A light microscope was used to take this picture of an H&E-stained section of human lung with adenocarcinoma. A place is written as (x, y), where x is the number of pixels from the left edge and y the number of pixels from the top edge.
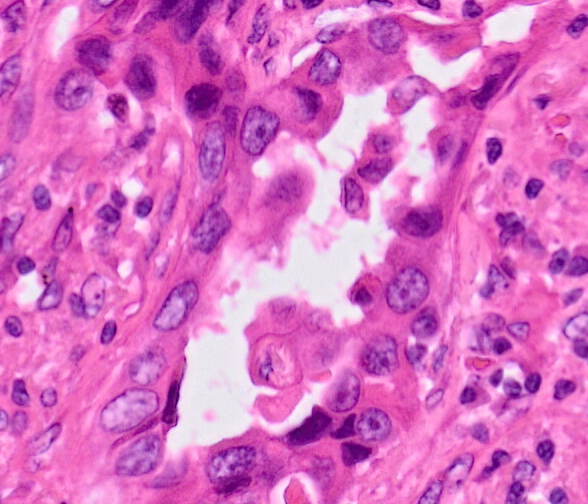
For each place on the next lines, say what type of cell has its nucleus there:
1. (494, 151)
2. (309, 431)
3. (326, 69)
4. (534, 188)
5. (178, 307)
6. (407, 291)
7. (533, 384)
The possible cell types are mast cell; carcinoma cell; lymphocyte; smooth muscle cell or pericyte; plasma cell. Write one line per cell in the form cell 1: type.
cell 1: lymphocyte
cell 2: carcinoma cell
cell 3: carcinoma cell
cell 4: lymphocyte
cell 5: carcinoma cell
cell 6: carcinoma cell
cell 7: lymphocyte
